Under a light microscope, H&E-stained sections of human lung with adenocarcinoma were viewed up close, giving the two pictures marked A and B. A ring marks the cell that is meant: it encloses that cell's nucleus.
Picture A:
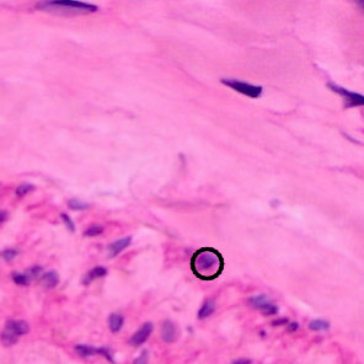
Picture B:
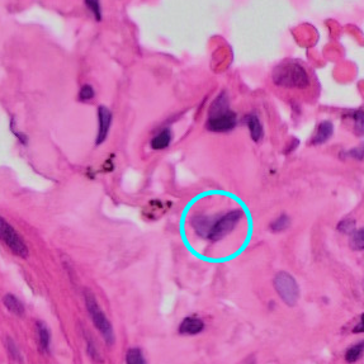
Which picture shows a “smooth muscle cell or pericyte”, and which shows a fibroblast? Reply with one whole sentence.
Picture B shows a fibroblast, while picture A shows a “smooth muscle cell or pericyte”.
